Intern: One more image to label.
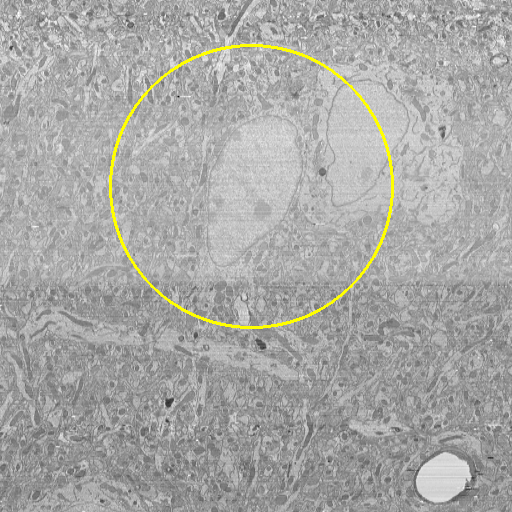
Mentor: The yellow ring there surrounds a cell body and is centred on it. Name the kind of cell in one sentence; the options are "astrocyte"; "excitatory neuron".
The ring marks the cell body of an astrocyte.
